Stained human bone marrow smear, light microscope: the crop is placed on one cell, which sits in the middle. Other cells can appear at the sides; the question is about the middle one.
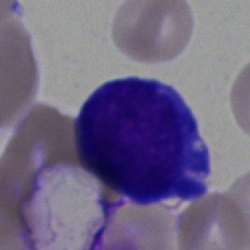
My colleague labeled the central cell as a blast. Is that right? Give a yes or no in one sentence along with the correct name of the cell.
Yes, the cell shown at the crop's centre is a blast.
